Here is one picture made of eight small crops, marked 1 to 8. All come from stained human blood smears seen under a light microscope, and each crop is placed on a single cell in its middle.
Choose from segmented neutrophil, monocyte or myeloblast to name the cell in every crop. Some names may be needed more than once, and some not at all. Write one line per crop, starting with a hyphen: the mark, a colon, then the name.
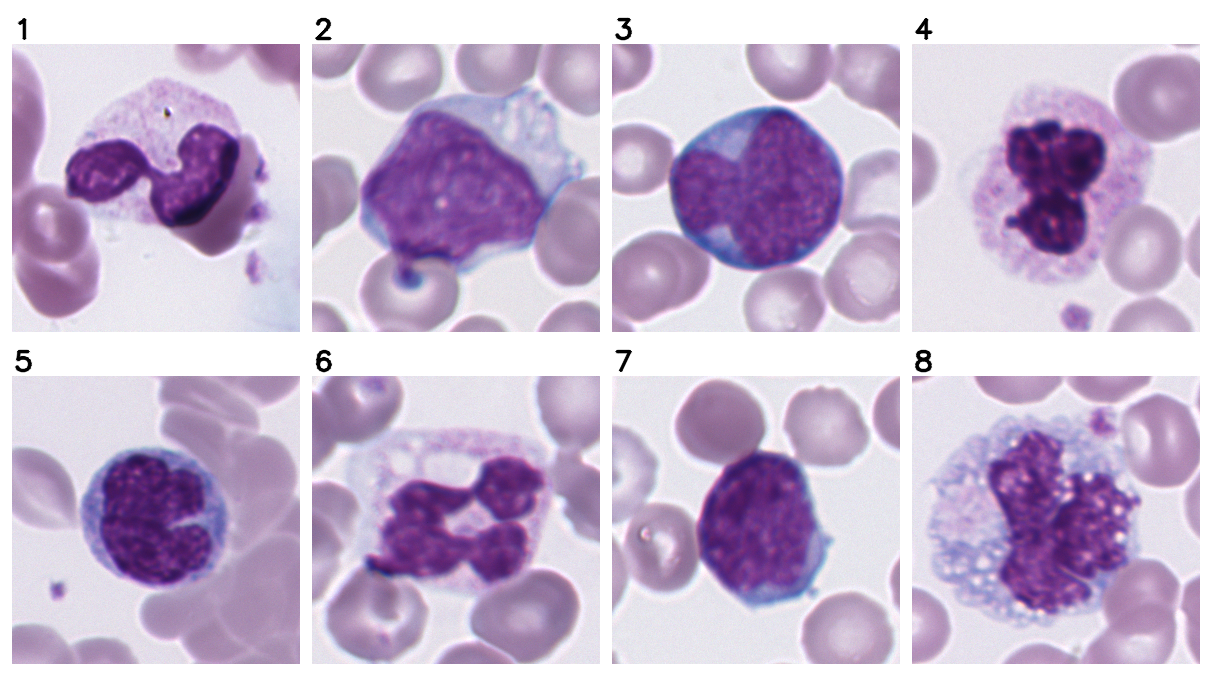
- 1: segmented neutrophil
- 2: myeloblast
- 3: myeloblast
- 4: segmented neutrophil
- 5: monocyte
- 6: segmented neutrophil
- 7: myeloblast
- 8: monocyte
